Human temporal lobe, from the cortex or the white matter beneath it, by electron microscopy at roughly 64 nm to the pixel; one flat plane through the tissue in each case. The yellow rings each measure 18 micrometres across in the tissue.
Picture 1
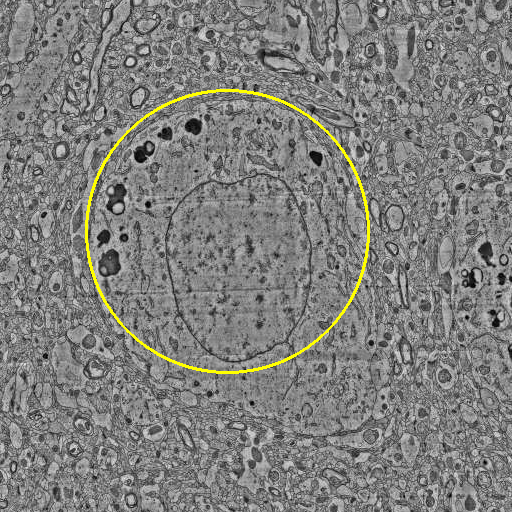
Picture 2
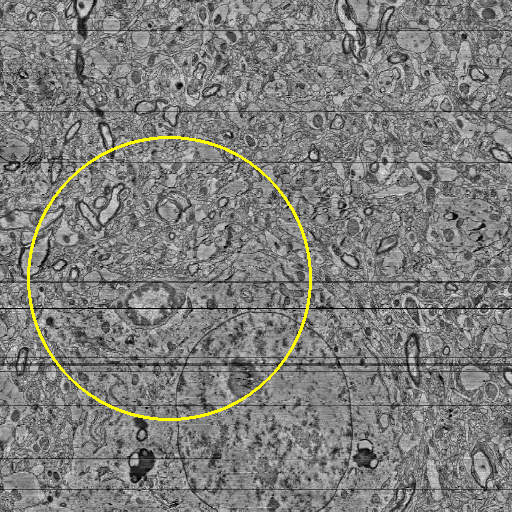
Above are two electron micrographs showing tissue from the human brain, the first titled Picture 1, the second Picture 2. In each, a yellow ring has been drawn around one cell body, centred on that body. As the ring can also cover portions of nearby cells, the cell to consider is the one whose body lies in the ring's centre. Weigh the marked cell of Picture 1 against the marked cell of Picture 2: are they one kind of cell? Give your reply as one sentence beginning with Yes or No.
No, the two cells sitting at the ring centres in the pictures are of two kinds.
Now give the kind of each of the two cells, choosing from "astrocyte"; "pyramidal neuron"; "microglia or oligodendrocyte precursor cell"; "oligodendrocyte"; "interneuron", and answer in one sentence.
The cell in the first picture is a pyramidal neuron, and the cell in the second is an oligodendrocyte.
